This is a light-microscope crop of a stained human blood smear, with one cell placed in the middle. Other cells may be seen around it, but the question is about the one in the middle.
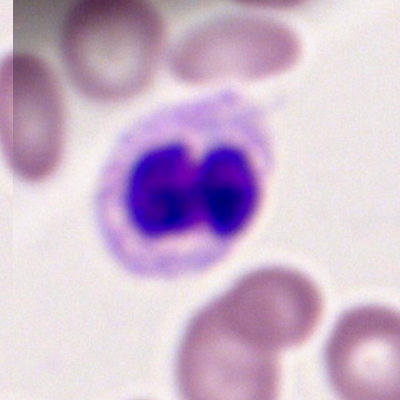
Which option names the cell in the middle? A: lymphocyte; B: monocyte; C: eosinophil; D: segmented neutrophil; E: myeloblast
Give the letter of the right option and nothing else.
D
